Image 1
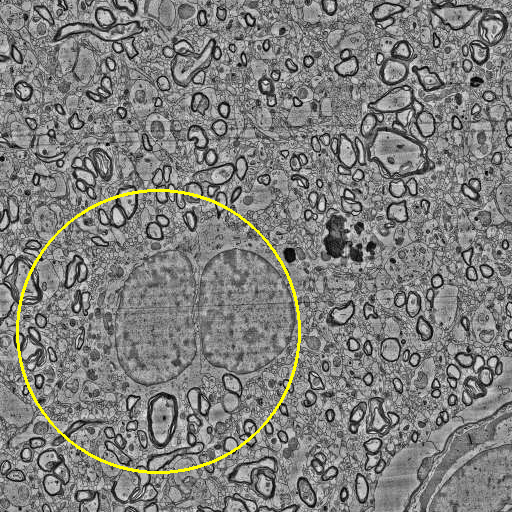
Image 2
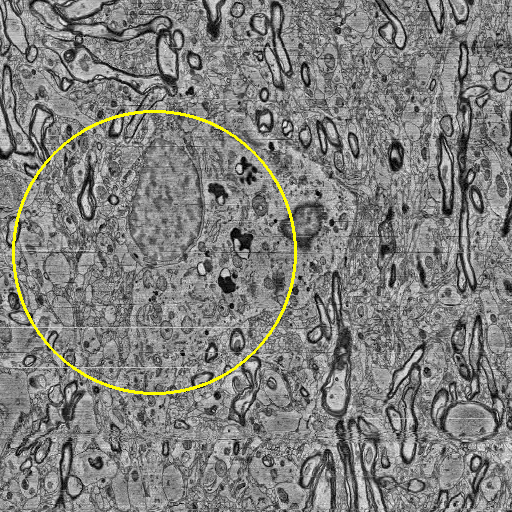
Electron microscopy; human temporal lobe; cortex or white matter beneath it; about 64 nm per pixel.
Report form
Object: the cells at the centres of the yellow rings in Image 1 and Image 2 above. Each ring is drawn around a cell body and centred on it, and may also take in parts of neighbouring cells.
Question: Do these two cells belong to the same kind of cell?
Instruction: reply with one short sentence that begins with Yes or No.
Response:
Yes, both belong to the same kind of cell.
